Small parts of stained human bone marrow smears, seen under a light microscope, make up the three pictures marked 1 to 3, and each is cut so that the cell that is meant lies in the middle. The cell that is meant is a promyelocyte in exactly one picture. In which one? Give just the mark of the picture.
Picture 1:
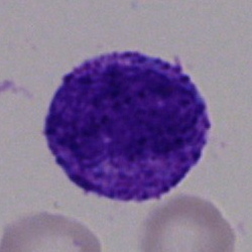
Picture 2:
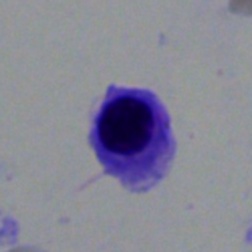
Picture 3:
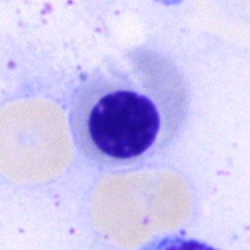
1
